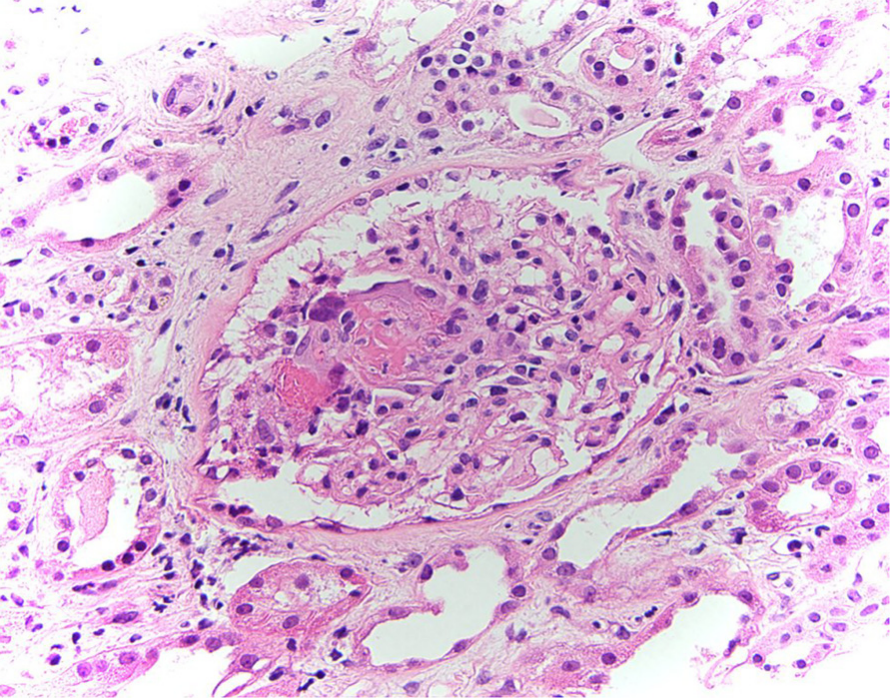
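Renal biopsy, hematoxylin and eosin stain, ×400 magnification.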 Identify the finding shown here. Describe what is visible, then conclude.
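Necrotizing glomerulonephritis. A central glomerulus holds a patch of bright pink, smudgy, structureless material within its tuft. Dark, irregular nuclear debris lies at the edge of the pink patch. Red blood cells lie in a cluster at the left side of the tuft.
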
